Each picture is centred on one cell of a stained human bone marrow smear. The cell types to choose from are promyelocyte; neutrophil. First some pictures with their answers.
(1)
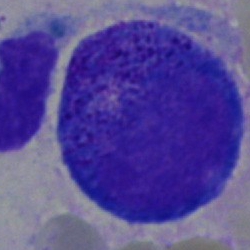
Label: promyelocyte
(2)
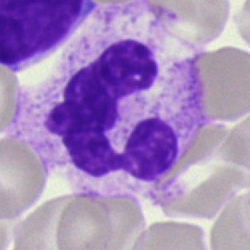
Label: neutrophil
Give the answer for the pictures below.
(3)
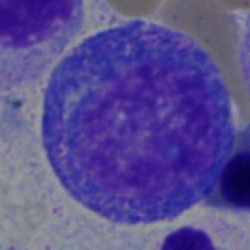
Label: promyelocyte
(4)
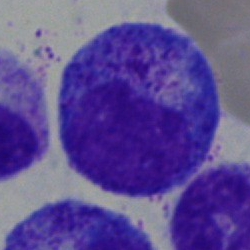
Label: promyelocyte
